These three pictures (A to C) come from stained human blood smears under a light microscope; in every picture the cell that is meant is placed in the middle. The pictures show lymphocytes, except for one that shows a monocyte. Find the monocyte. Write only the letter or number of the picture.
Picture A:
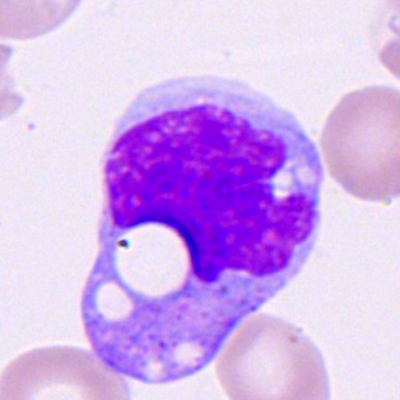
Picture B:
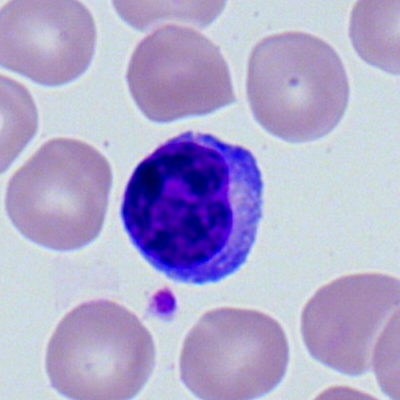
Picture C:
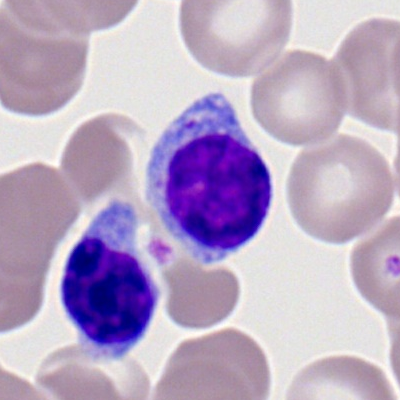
A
